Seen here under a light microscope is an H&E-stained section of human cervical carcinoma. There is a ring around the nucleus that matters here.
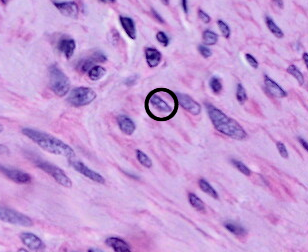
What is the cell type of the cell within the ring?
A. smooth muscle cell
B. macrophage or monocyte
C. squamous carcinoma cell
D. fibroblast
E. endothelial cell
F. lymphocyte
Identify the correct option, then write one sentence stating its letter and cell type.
The correct response is option A: the cell within the ring is a smooth muscle cell.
